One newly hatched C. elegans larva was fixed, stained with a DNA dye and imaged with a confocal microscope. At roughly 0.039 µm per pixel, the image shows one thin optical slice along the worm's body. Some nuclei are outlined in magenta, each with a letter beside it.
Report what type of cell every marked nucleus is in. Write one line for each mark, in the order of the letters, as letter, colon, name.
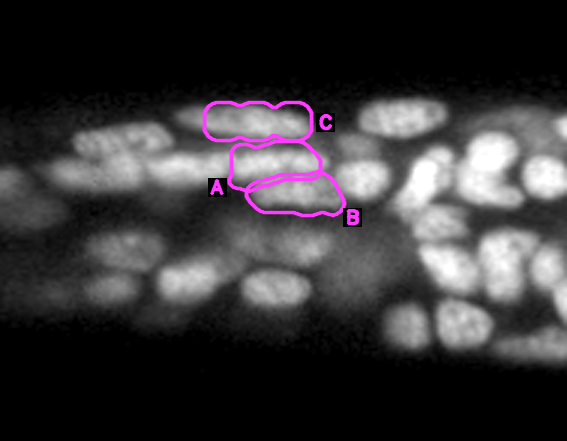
A: pharyngeal epithelial cell
B: pharyngeal muscle cell
C: body wall muscle cell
